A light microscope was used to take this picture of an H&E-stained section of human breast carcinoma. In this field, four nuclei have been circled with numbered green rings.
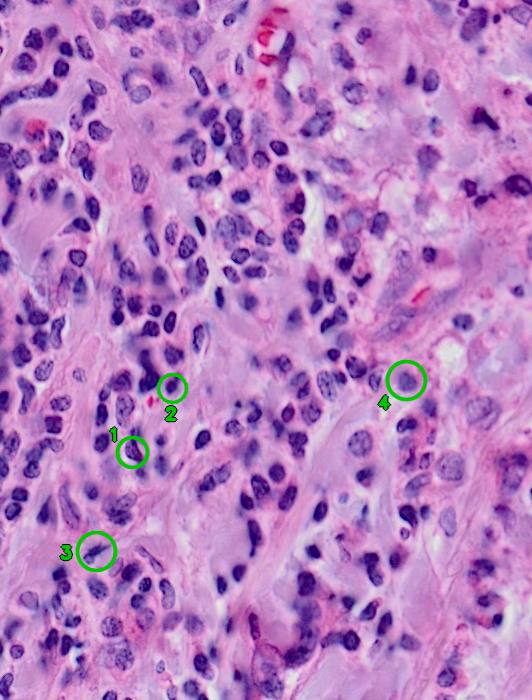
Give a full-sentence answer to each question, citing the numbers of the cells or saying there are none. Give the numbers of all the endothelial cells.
Not one of the numbered cells belongs among the endothelial cells.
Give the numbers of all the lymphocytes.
To be specific, the cells numbered 1, 2 and 3 are lymphocytes.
